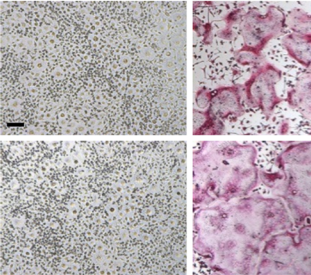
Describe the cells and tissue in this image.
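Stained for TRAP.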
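In the left two fields, small round mononuclear cells lie densely packed and unstained. In the right two fields, very large, flattened multinucleated cells with magenta-red cytoplasm and clustered nuclei spread over the dish, with small unstained mononuclear cells in the gaps between them.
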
